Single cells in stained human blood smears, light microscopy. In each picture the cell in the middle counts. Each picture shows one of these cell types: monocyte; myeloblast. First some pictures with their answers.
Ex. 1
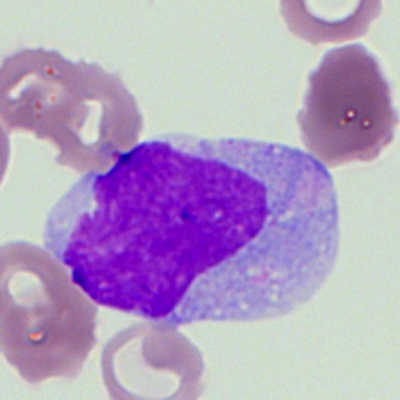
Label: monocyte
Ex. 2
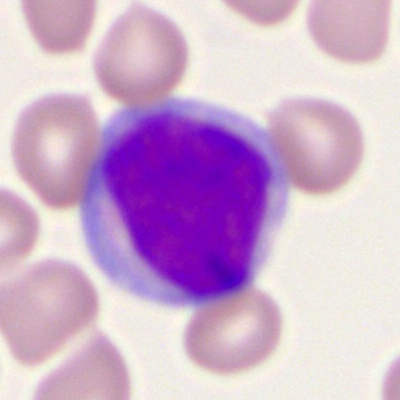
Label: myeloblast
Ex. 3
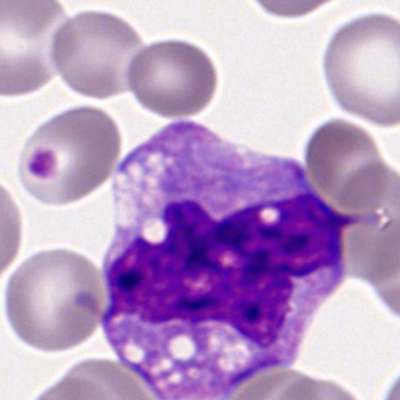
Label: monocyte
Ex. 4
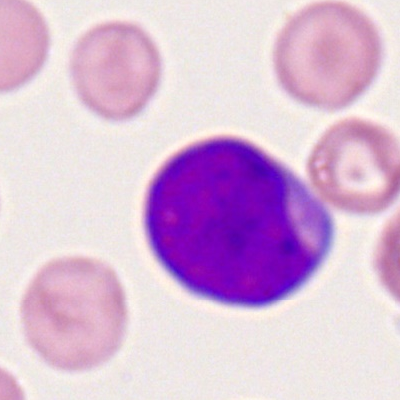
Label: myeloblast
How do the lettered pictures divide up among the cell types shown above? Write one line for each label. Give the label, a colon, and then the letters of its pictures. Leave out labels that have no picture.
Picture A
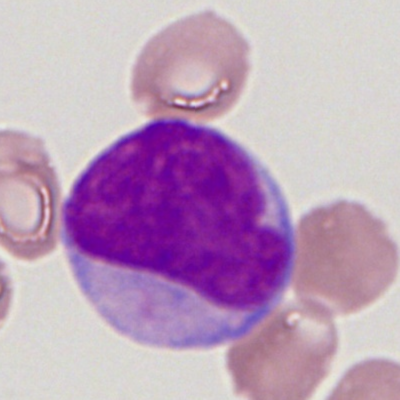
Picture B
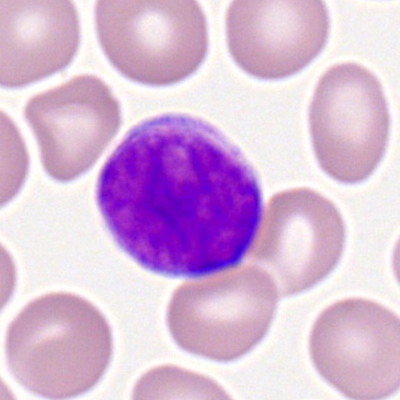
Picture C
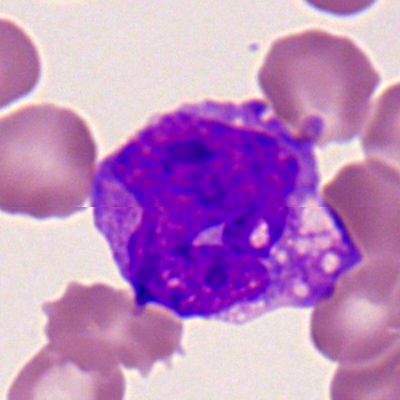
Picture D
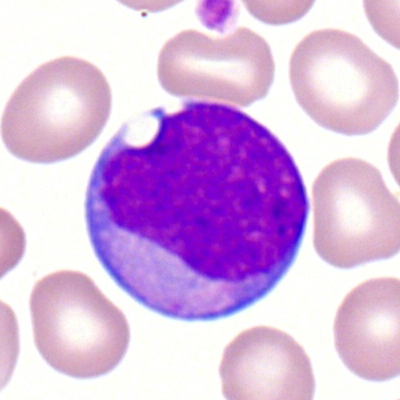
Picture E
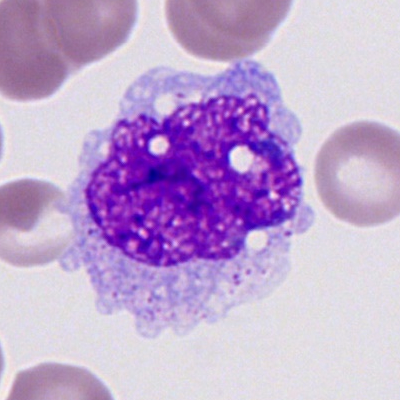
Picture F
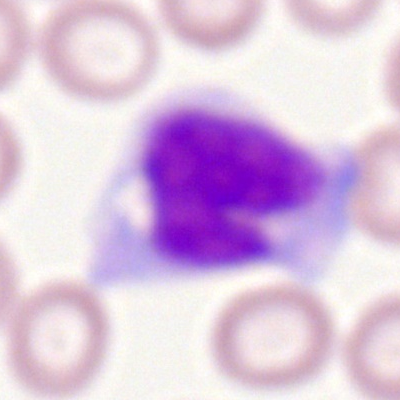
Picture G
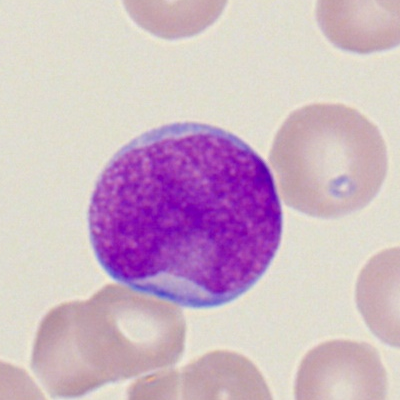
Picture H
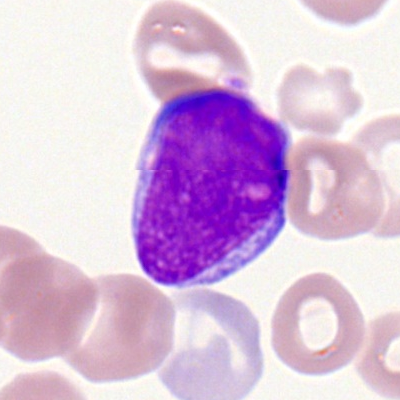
monocyte: C, E, F
myeloblast: A, B, D, G, H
